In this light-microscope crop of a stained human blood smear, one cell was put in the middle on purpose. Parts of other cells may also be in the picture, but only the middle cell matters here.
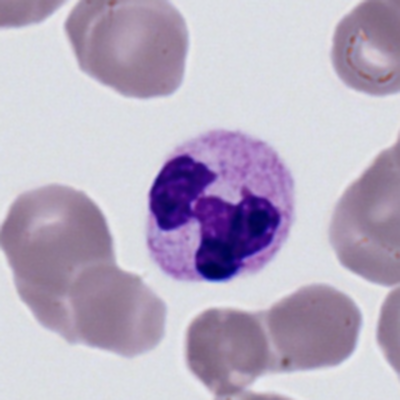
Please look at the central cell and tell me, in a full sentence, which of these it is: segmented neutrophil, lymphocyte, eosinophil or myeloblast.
The centrally positioned cell in the crop represents a segmented neutrophil.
